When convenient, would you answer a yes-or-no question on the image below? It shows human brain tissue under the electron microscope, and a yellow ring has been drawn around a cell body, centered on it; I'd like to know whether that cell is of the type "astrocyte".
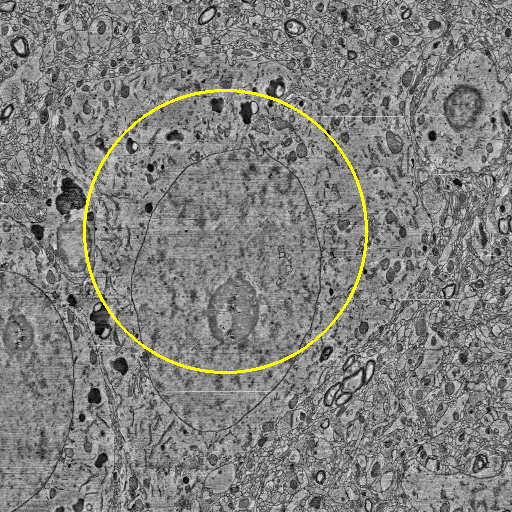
no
